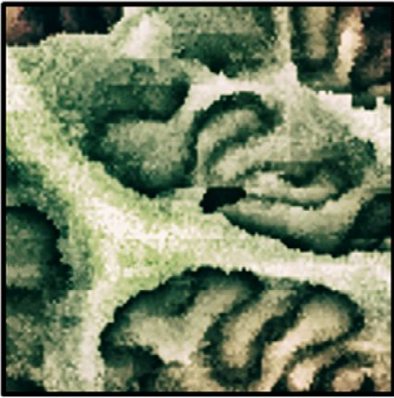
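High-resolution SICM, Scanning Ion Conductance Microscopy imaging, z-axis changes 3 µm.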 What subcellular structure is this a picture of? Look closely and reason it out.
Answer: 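Podocyte secondary foot processes. Raised pale ridges branch and join into a network. Between them lie depressed areas filled with curved, finger-like folds. The folds lie side by side in parallel, interlocking arcs.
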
